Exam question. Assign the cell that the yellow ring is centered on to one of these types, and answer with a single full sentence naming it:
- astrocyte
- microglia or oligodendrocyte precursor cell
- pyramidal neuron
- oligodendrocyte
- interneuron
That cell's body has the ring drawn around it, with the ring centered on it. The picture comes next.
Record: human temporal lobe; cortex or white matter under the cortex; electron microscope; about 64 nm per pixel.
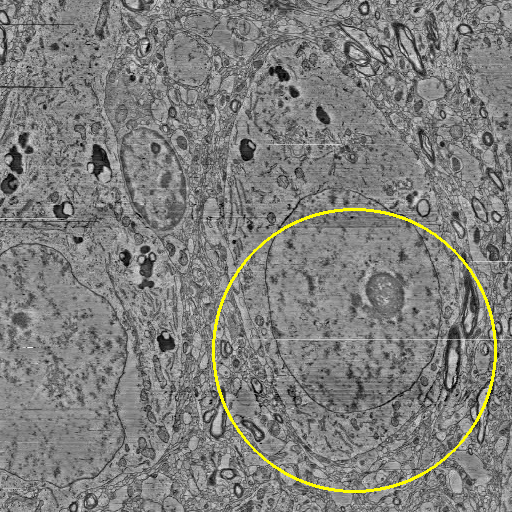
In the micrograph, the cell the yellow ring is centered on is a pyramidal neuron.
